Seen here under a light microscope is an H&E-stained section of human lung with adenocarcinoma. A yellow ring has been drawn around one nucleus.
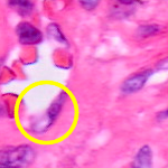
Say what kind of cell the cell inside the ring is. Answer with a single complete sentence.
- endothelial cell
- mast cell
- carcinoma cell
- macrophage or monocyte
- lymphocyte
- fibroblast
The cell inside the ring appears to be an endothelial cell.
